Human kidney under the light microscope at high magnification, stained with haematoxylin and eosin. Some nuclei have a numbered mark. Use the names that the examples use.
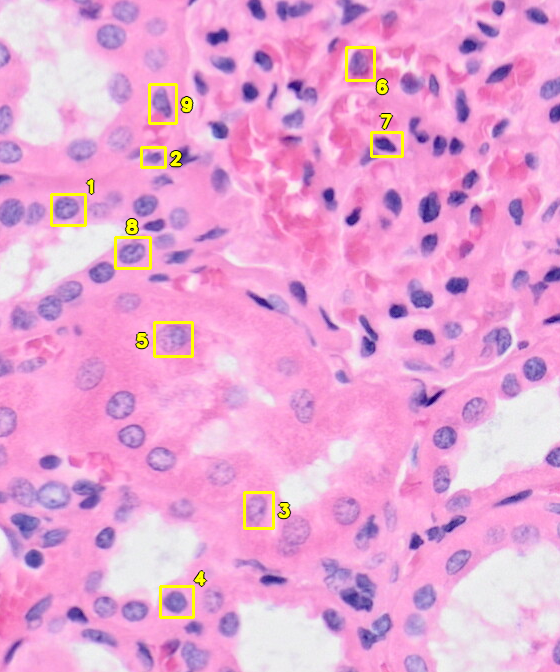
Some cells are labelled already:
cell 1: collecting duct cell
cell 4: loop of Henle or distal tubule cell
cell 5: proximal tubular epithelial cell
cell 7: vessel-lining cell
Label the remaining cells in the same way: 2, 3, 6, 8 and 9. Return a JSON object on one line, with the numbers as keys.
{"2": "vessel-lining cell", "3": "proximal tubular epithelial cell", "6": "vessel-lining cell", "8": "collecting duct cell", "9": "vessel-lining cell"}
